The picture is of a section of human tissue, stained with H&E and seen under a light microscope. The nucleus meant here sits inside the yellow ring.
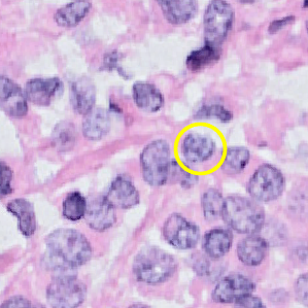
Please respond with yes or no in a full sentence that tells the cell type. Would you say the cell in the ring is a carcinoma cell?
Yes, the cell in the ring is a carcinoma cell in this section.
